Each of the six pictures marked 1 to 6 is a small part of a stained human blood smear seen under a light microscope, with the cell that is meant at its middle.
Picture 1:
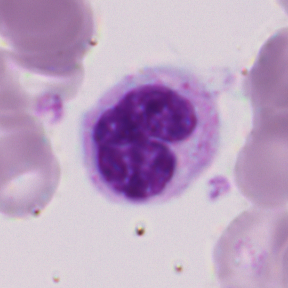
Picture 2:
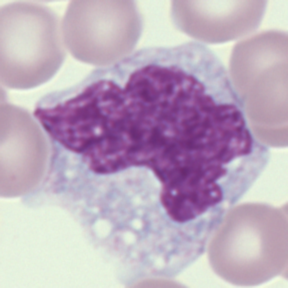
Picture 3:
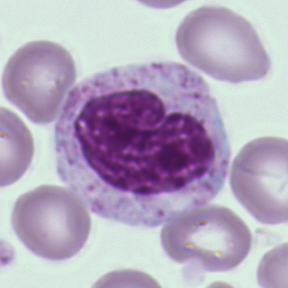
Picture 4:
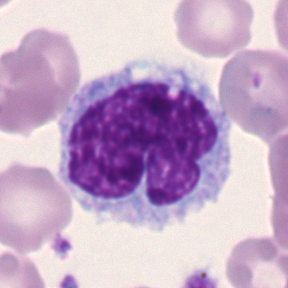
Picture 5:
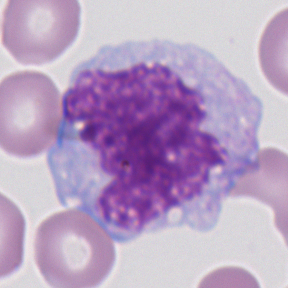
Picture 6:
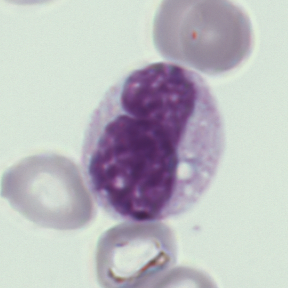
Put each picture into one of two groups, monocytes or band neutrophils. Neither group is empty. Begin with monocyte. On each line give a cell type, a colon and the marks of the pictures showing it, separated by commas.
monocyte: 2, 4, 5
band neutrophil: 1, 3, 6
